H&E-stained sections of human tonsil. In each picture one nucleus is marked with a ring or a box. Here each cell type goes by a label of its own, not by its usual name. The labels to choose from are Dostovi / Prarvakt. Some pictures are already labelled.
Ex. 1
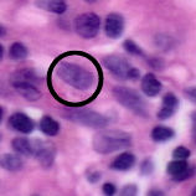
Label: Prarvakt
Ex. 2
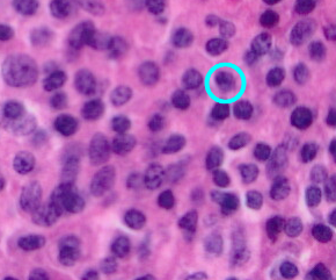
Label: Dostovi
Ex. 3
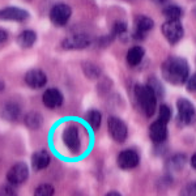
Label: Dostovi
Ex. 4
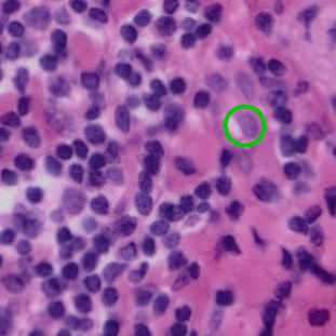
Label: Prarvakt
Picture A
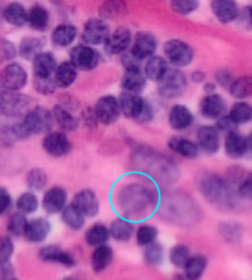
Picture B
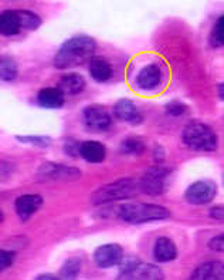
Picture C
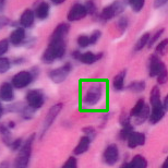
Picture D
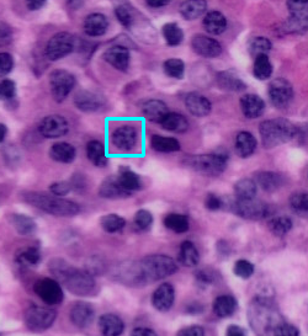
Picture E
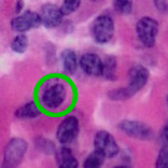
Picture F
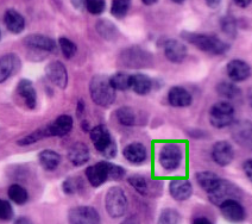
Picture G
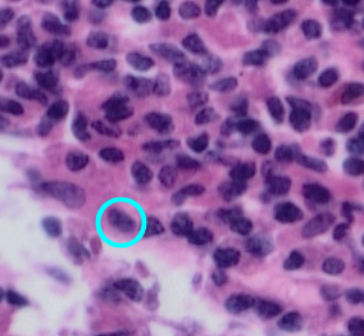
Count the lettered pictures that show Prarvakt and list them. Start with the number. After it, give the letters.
3: A, C, G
